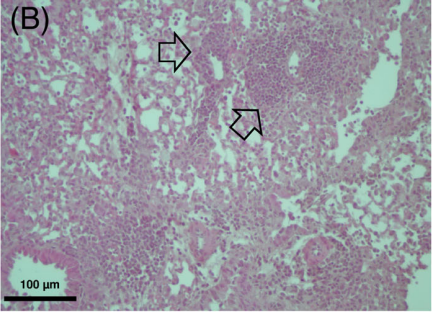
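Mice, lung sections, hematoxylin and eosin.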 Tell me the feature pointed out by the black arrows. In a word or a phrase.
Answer: Lymphoid aggregates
